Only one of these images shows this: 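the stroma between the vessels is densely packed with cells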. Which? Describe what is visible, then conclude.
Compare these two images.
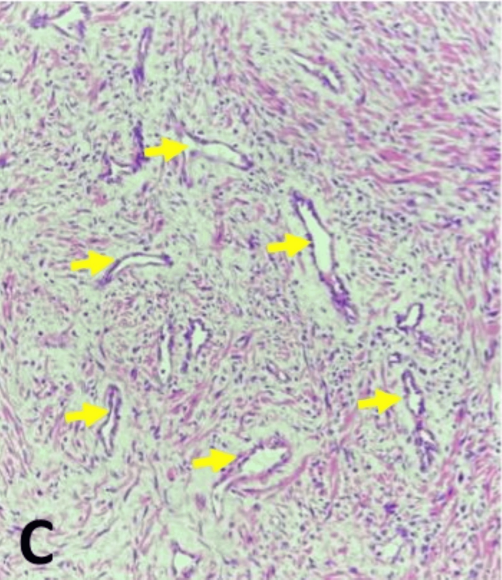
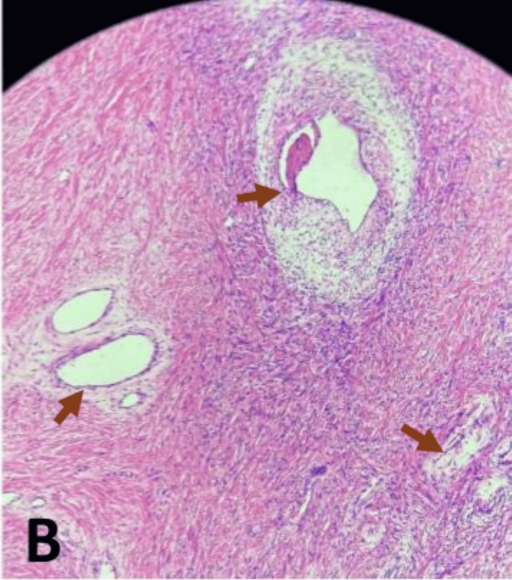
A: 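The second image. First image: loose, pale stroma with widely scattered cells. Second image: dense, crowded purple cellular stroma around the vessels.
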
